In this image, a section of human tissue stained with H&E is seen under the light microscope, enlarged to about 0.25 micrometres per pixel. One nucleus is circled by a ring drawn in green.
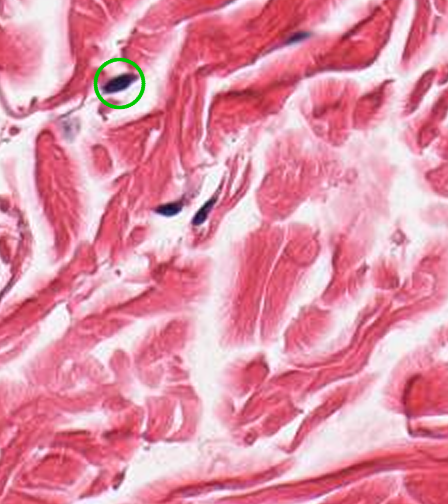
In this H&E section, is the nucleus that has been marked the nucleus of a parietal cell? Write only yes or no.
no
